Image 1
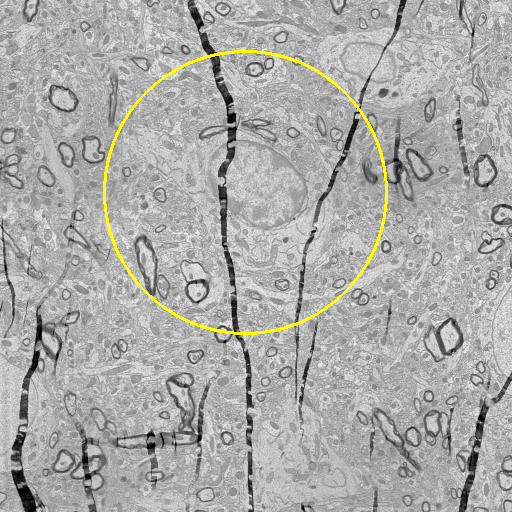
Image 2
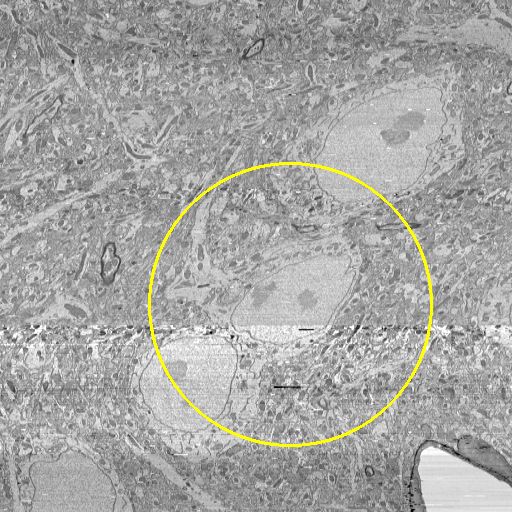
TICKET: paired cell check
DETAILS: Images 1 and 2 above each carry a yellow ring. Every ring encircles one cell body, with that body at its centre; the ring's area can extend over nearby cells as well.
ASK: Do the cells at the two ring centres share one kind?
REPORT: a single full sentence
No, the ring-centre cells of Images 1 and 2 belong to two kinds.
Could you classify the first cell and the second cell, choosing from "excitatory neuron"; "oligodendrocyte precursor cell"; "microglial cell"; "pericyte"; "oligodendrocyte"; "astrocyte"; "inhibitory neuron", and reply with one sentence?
The second cell is an excitatory neuron, while the first is an oligodendrocyte.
